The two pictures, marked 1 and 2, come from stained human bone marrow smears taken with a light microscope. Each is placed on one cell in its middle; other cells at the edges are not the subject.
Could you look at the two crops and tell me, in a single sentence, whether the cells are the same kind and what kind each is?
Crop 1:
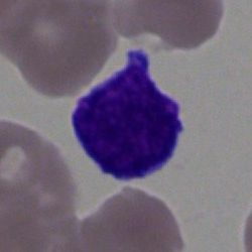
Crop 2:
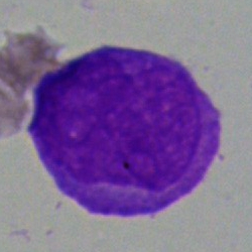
Yes, blasts are the cells in the middle of both crops.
